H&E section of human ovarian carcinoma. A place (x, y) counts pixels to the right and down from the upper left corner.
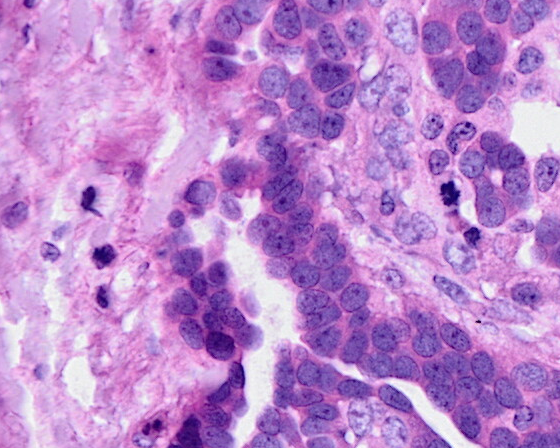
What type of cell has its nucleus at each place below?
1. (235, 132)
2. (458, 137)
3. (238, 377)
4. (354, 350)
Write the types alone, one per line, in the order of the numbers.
fibroblast
macrophage or monocyte
carcinoma cell
carcinoma cell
